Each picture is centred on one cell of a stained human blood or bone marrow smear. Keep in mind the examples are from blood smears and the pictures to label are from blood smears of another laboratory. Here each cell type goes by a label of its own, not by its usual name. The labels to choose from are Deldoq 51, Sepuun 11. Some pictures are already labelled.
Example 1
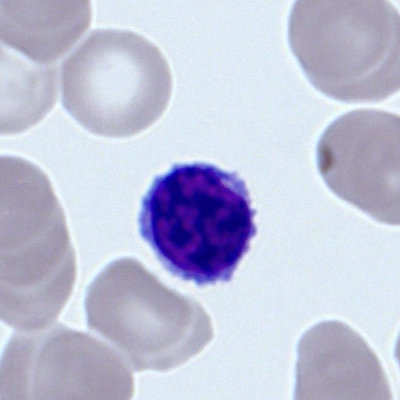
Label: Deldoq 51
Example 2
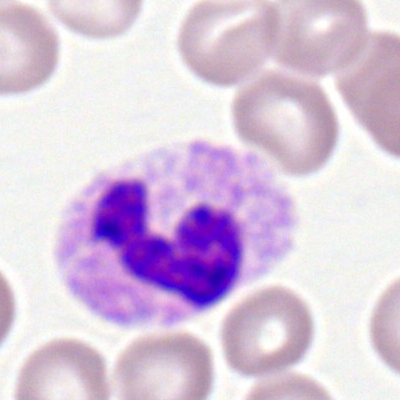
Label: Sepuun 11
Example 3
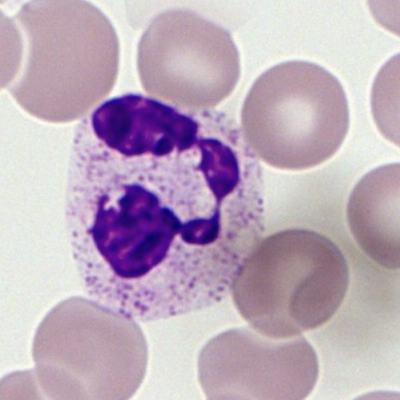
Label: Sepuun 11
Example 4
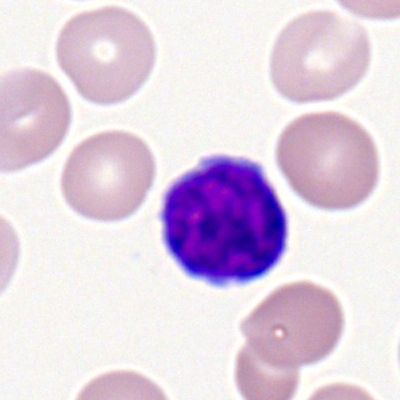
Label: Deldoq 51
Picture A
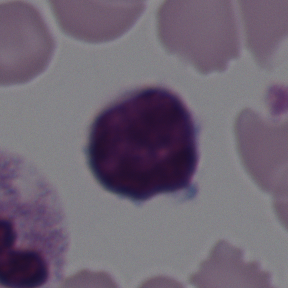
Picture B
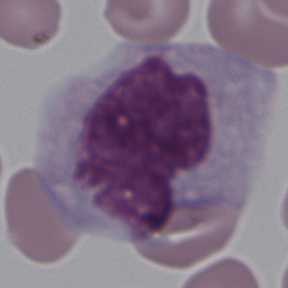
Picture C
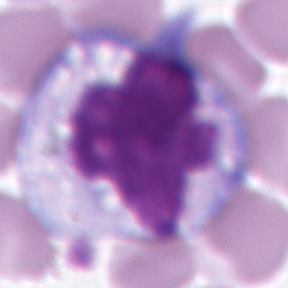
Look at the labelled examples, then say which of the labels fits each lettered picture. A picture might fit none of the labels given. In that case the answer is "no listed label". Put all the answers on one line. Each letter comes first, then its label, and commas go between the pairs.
A Deldoq 51, B no listed label, C no listed label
